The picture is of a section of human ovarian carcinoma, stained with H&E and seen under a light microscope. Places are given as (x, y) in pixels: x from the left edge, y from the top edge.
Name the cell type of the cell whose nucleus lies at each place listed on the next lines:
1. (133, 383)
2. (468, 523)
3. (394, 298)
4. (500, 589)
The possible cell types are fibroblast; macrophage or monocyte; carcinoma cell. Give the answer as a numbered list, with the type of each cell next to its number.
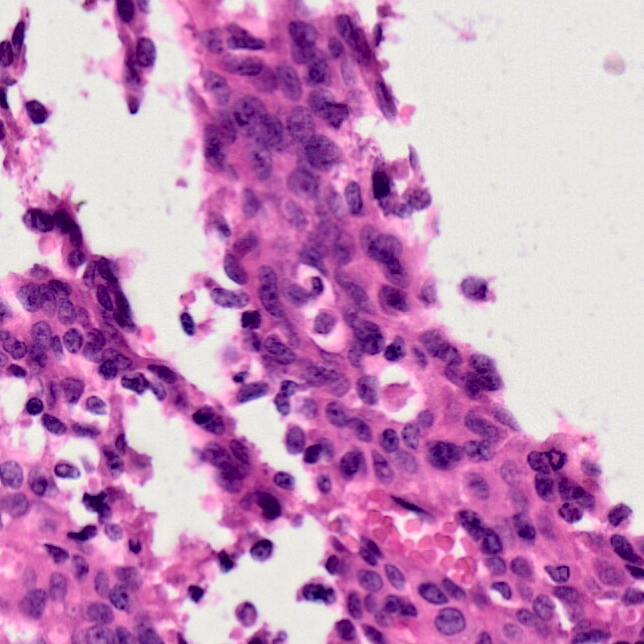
1. carcinoma cell
2. carcinoma cell
3. carcinoma cell
4. macrophage or monocyte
